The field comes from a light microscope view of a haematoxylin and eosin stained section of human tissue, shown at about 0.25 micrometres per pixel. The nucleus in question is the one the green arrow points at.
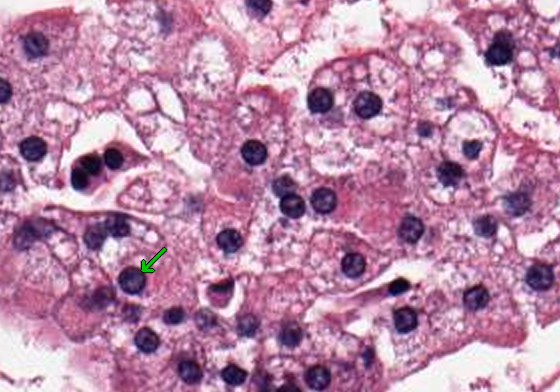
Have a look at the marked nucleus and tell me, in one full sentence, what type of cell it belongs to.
The marked nucleus is located in an adrenal cortical cell.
